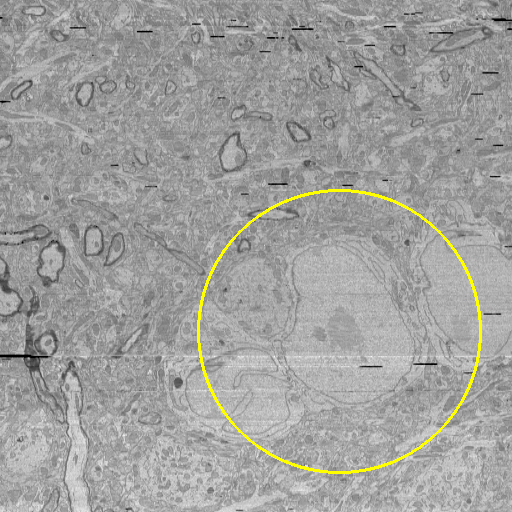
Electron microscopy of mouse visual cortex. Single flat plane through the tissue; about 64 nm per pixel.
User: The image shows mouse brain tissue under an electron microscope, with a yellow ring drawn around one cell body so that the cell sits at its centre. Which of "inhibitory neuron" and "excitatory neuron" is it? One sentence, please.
At the centre of the ring sits an inhibitory neuron.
